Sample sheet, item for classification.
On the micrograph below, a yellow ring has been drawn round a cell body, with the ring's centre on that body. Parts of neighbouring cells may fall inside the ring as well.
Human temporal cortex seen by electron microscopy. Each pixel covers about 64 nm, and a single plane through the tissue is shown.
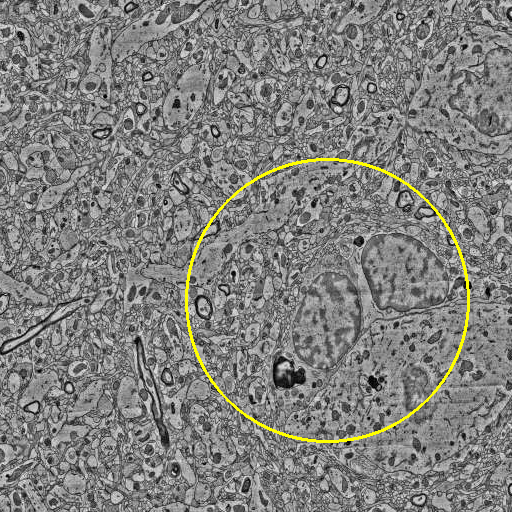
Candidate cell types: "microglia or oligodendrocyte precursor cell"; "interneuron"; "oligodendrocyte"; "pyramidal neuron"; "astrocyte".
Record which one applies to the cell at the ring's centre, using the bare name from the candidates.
oligodendrocyte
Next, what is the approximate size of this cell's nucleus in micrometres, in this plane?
The ringed cell's nucleus measures approximately 6 by 4 micrometres in this plane.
